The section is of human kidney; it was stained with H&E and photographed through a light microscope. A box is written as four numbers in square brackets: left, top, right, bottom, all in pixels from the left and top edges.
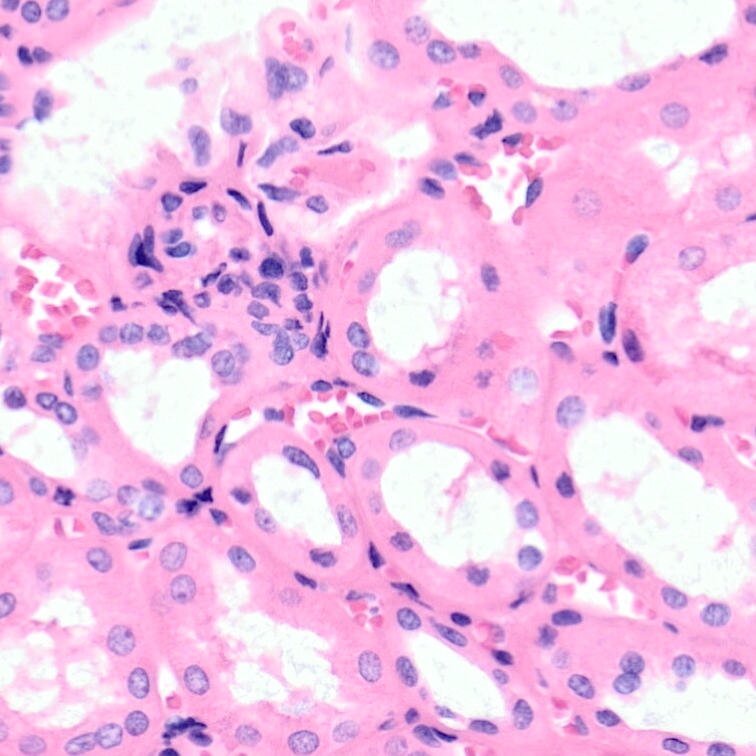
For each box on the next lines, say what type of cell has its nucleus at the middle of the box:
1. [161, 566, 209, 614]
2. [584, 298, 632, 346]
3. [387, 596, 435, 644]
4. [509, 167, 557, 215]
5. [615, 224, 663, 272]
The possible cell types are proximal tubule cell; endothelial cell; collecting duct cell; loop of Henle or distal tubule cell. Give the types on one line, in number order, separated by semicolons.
proximal tubule cell; endothelial cell; collecting duct cell; endothelial cell; endothelial cell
